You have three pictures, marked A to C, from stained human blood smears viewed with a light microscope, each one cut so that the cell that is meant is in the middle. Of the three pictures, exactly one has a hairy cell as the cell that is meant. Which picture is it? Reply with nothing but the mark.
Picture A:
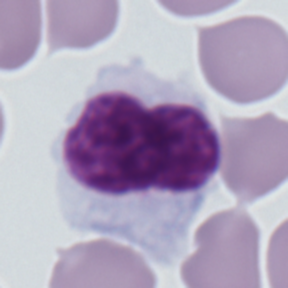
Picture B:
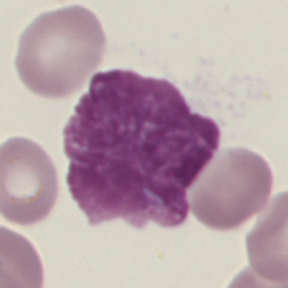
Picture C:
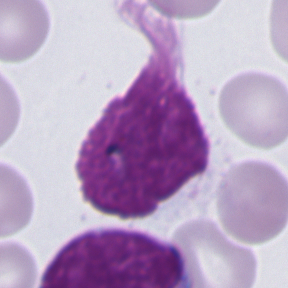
A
